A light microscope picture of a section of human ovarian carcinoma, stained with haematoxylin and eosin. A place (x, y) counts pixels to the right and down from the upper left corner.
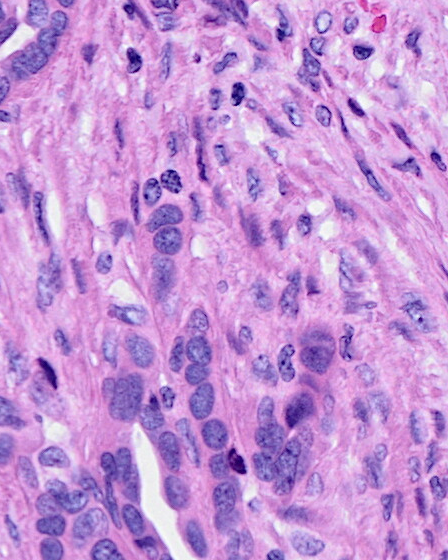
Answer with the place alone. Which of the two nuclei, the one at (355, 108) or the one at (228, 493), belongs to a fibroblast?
(355, 108)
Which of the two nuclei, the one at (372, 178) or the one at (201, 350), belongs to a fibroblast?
(372, 178)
